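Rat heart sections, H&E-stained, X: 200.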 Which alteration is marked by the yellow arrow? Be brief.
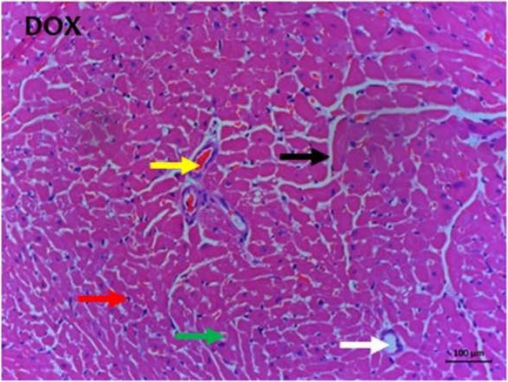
Vascular congestion.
